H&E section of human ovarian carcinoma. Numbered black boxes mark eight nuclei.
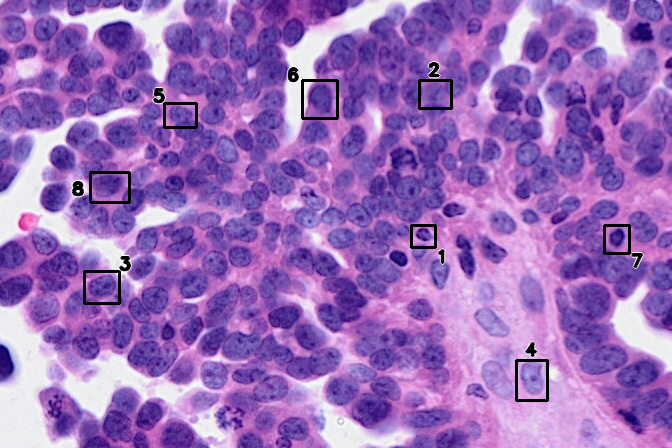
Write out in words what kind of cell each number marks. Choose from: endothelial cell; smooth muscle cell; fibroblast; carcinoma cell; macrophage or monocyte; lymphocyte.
Cell 1 is a lymphocyte, cell 2 is a carcinoma cell, cell 3 is a carcinoma cell, cell 4 is a fibroblast, cell 5 is a carcinoma cell, cell 6 is a carcinoma cell, cell 7 is a lymphocyte and cell 8 is a carcinoma cell.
